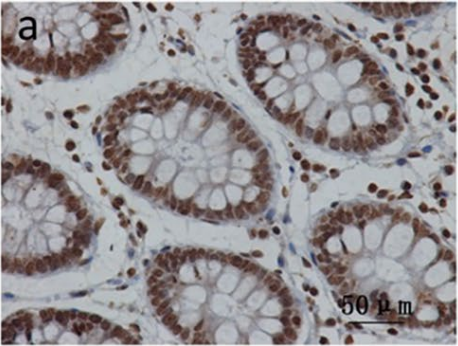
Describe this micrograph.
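Normal colonic mucosa with crypts cut in cross section, each lined by columnar epithelium rich in goblet cells with clear, empty-looking cytoplasm. The small basal epithelial nuclei are stained dark brown, as are many nuclei of stromal cells in the loose lamina propria between the crypts; a few stromal nuclei remain blue.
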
